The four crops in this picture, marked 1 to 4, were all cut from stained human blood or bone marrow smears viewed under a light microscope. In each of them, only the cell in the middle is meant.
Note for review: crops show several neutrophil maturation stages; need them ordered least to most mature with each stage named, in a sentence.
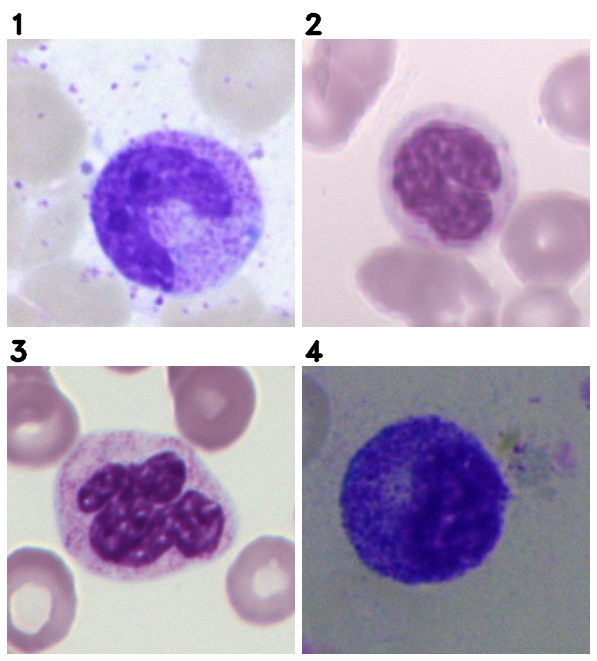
Ordering these by maturity, least mature first, yields crop 4 (a myelocyte), crop 1 (a metamyelocyte), crop 2 (a band neutrophil) and crop 3 (a segmented neutrophil).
